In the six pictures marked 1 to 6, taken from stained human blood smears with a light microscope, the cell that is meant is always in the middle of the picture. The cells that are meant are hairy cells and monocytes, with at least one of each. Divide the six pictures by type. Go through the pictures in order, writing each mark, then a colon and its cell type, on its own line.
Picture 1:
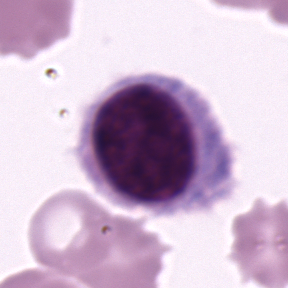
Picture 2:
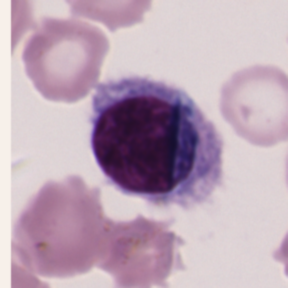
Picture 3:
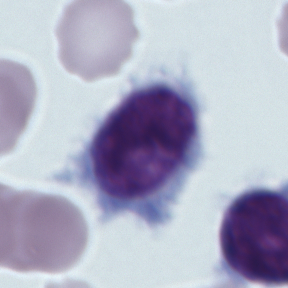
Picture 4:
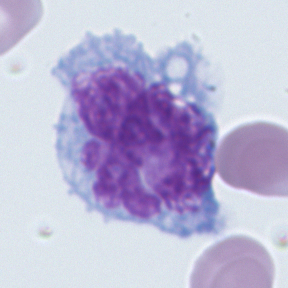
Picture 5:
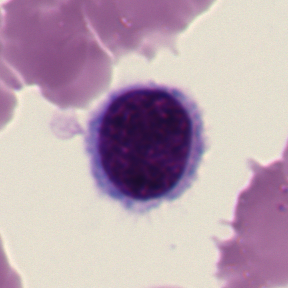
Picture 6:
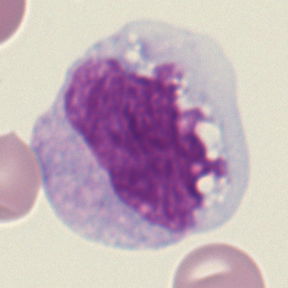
1: hairy cell
2: hairy cell
3: hairy cell
4: monocyte
5: hairy cell
6: monocyte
